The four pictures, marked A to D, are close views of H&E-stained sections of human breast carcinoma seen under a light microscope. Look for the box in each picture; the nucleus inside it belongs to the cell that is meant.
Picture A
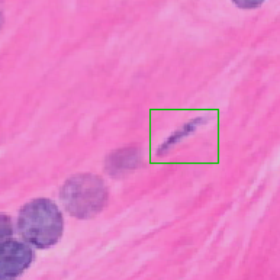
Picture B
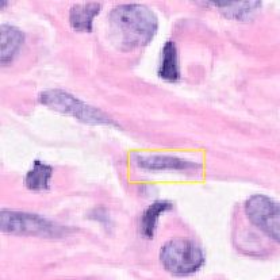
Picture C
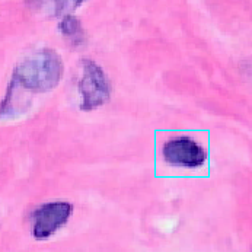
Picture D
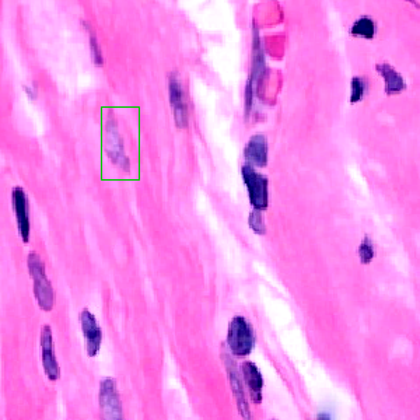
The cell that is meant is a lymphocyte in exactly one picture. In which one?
C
